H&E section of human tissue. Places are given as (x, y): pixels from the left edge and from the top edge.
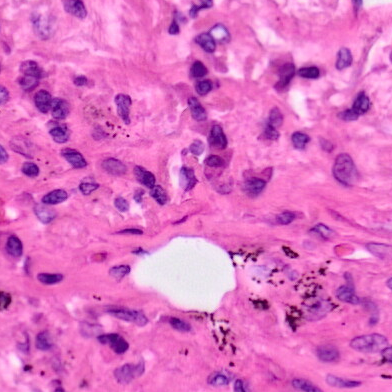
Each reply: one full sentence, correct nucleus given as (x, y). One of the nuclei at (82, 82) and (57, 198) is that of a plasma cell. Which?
Belonging to a plasma cell is the nucleus at (82, 82).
